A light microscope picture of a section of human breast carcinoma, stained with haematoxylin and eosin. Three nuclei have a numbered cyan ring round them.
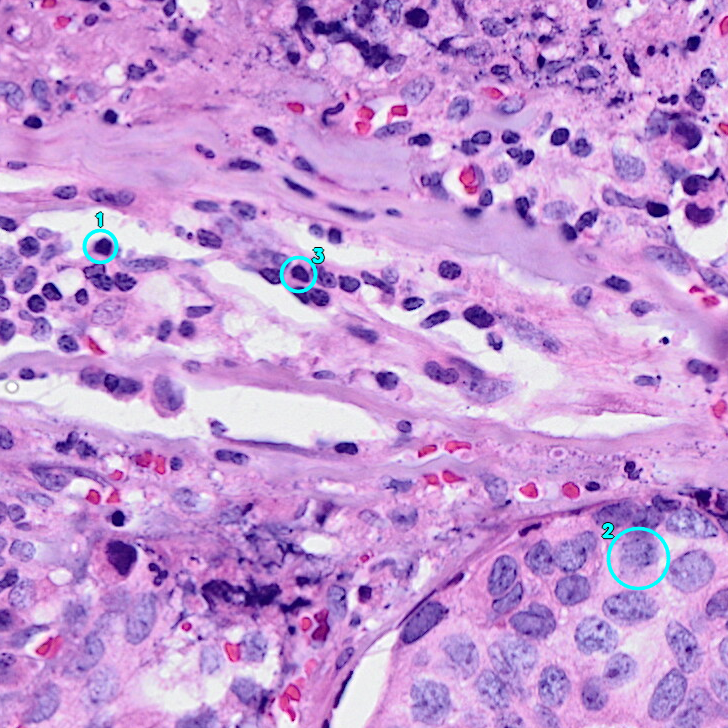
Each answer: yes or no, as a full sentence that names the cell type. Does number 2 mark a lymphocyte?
No, the cell at marker 2 is not a lymphocyte; it is a carcinoma cell.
